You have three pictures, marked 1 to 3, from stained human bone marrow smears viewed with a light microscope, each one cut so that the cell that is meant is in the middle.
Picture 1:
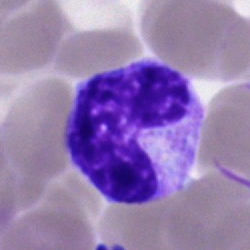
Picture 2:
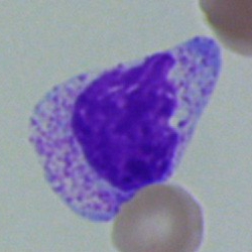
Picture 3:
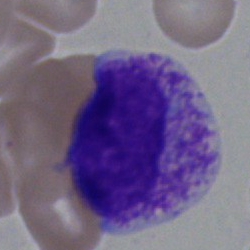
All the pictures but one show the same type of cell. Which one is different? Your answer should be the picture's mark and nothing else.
1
